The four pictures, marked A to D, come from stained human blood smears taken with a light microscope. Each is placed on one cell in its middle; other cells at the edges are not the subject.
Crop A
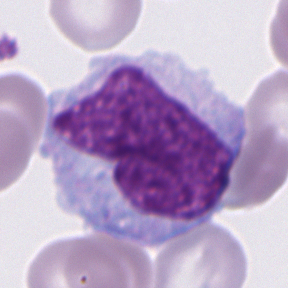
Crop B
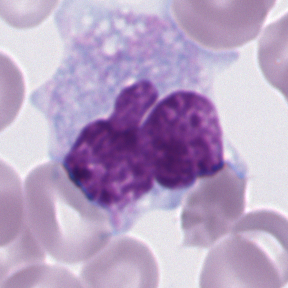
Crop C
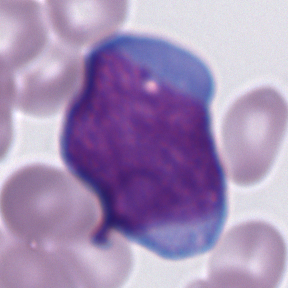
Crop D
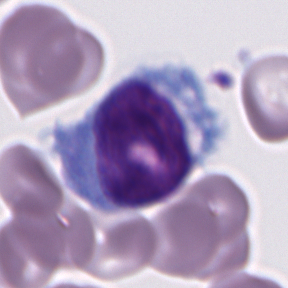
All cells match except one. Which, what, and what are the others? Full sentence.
Where the others show monocytes, crop C shows a myeloblast.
